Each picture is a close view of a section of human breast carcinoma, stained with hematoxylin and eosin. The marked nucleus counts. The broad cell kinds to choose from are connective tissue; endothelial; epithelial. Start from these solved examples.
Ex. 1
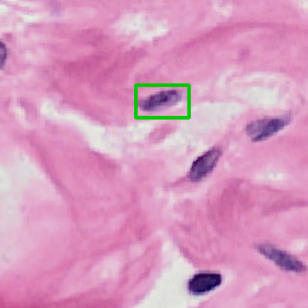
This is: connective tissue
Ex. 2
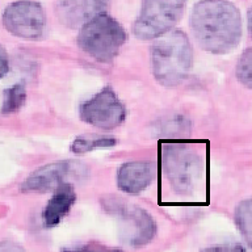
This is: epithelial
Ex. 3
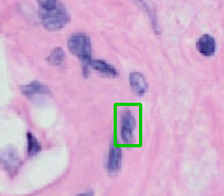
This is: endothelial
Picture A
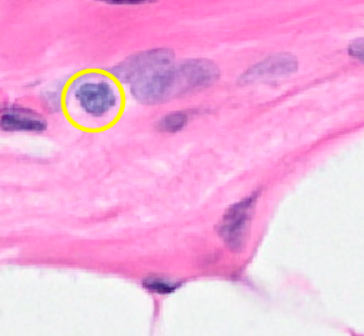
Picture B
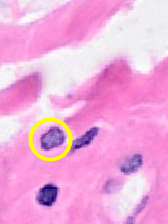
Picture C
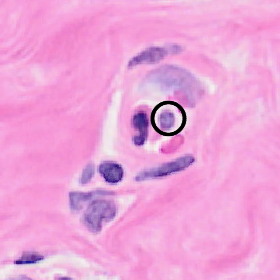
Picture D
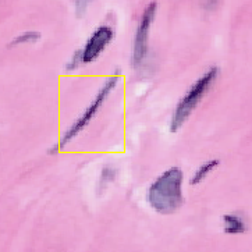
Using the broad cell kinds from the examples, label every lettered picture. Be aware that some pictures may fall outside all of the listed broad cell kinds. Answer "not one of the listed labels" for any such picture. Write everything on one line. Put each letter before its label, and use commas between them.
A not one of the listed labels, B not one of the listed labels, C not one of the listed labels, D connective tissue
